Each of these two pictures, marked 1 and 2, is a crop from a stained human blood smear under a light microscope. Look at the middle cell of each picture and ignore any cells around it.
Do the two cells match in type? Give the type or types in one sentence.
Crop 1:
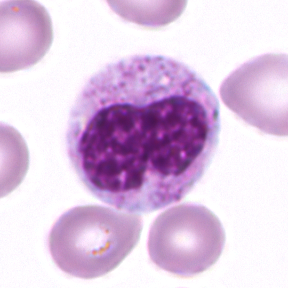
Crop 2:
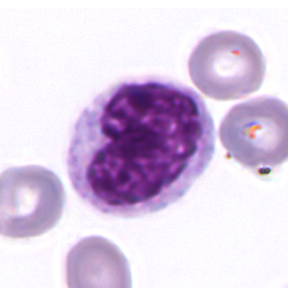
Yes, the central cells, in both crops, are band neutrophils.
